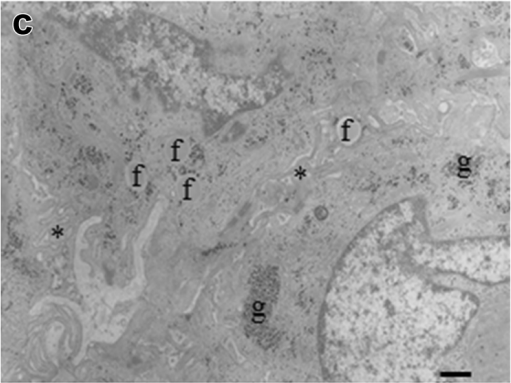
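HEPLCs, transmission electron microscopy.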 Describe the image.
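Parts of neighbouring epithelial-like cells with a large pale nucleus at the lower right, and the space between the cells is crowded with interlocking microvilli. The cytoplasm holds clusters of dark glycogen granules and small round pale fat droplets.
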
